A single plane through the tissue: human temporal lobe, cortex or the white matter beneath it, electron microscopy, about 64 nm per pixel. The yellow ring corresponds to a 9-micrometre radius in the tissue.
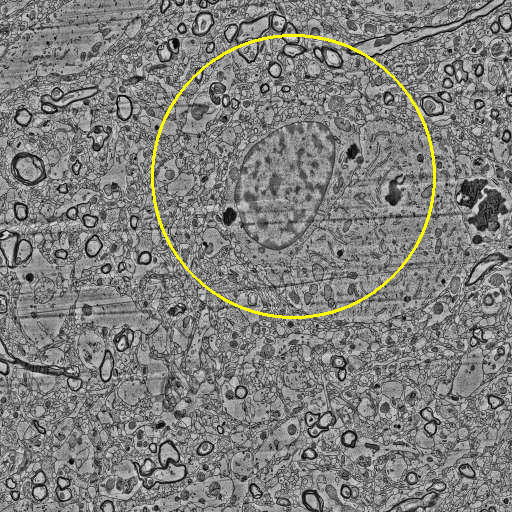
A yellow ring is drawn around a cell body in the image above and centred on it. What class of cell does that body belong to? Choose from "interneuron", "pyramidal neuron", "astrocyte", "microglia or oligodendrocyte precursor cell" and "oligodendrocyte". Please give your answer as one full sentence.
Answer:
The yellow ring above is centred on the cell body of an oligodendrocyte.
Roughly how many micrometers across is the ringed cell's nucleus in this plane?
In this plane the nucleus is roughly 9 by 6 micrometres, clearly longer than it is wide.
